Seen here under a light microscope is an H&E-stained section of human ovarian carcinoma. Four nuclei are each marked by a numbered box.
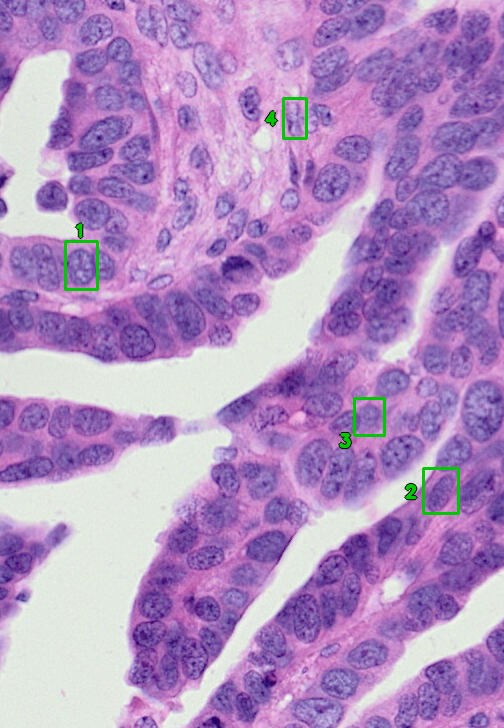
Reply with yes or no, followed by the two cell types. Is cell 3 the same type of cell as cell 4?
No, the proper labels are a carcinoma cell for cell 3 and a fibroblast for cell 4.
